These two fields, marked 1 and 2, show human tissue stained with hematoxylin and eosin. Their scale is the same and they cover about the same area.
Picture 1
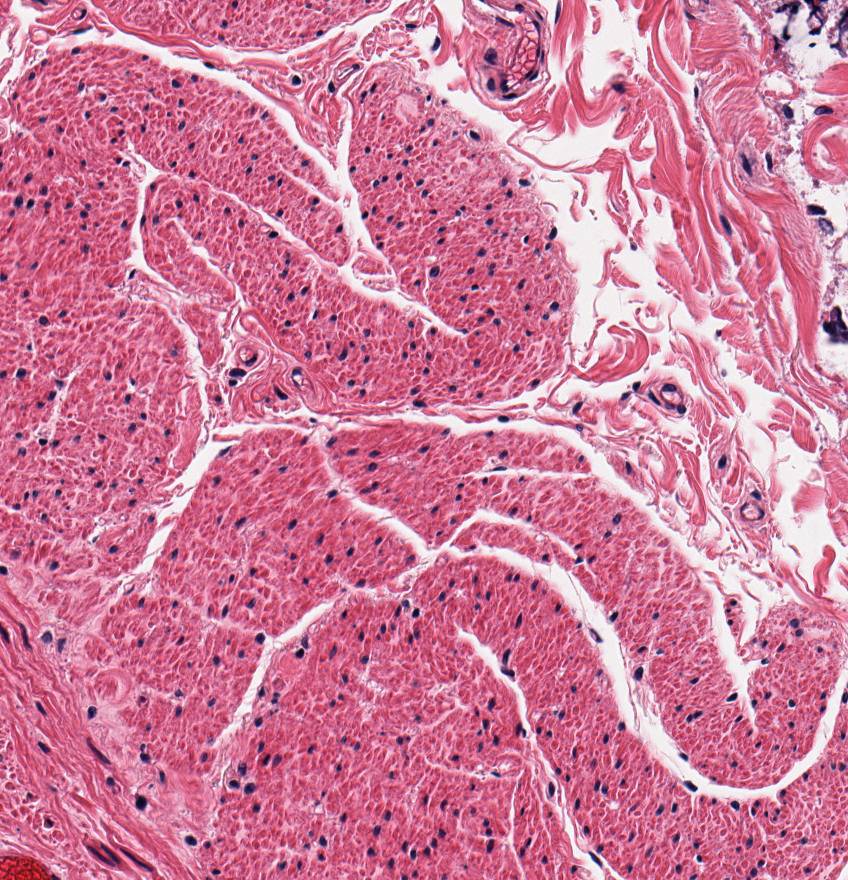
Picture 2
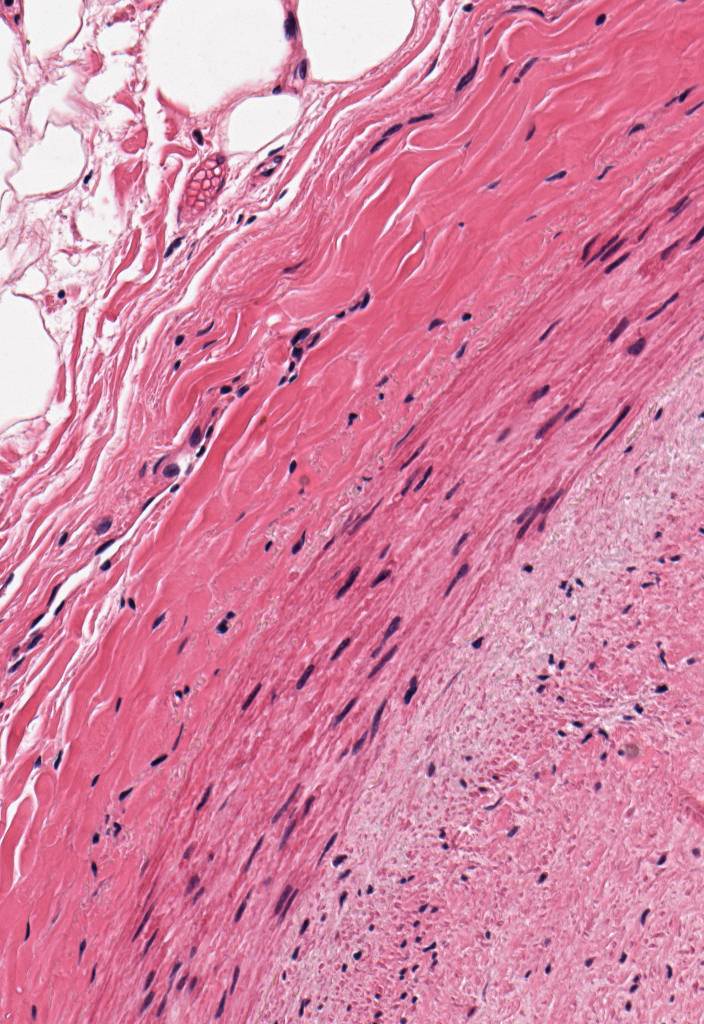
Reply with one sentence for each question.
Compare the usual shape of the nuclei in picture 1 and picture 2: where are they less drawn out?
On the whole the nuclei of picture 1 are rounder than those of picture 2.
